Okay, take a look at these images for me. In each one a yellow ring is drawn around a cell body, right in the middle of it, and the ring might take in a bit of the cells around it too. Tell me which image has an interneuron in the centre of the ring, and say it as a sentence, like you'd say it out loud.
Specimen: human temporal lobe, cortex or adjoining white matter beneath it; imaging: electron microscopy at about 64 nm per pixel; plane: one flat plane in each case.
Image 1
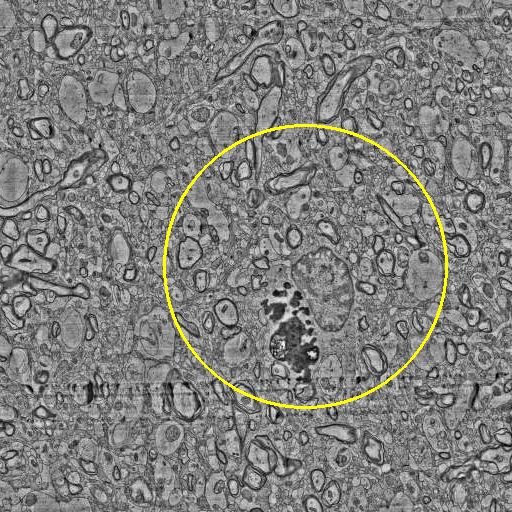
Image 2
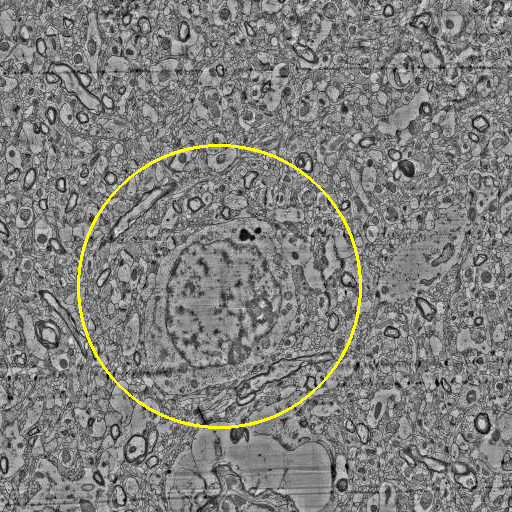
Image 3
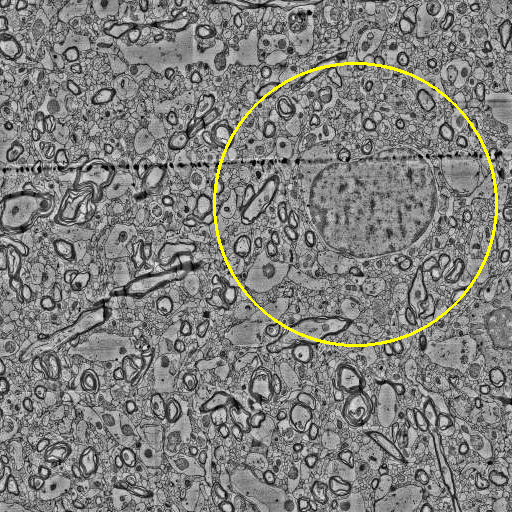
Image 2 is the one with it in the centre of the ring.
